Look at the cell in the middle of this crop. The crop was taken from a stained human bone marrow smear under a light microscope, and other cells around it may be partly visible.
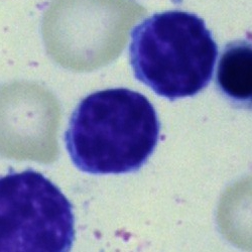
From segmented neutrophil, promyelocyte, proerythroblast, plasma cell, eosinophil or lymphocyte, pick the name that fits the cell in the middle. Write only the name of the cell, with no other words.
lymphocyte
